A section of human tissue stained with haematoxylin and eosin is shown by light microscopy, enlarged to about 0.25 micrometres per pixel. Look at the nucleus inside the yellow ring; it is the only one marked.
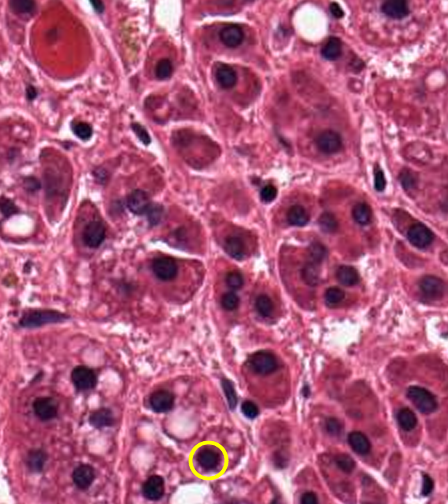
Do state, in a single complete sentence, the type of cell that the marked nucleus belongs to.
Marked in this picture is the nucleus of an adrenal cortical cell.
